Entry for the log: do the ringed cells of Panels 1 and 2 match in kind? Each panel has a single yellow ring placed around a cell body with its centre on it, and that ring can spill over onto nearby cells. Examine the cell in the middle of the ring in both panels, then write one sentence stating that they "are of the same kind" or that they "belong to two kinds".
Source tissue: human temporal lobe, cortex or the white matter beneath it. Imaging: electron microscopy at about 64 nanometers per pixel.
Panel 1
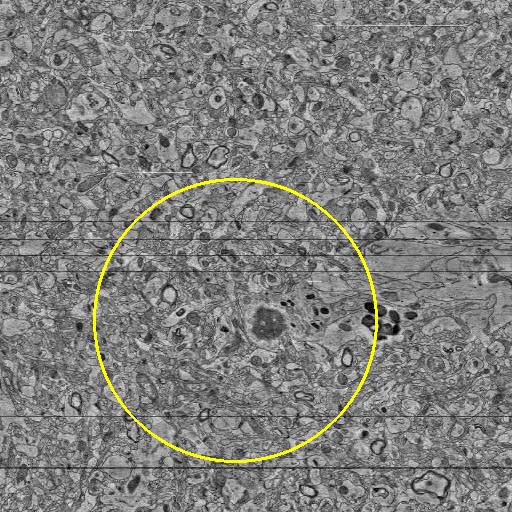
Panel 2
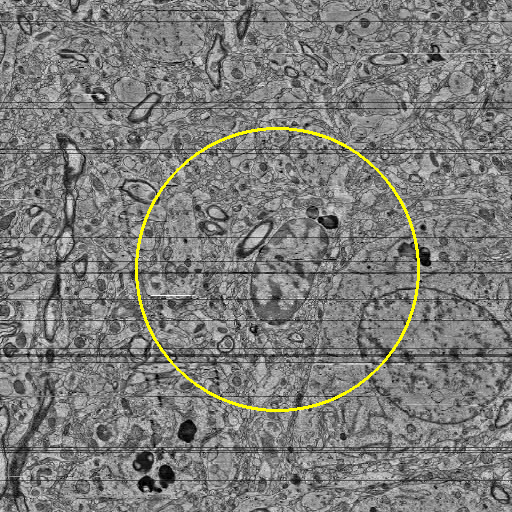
The centre cell of Panel 1's ring and that of Panel 2's ring are of the same kind.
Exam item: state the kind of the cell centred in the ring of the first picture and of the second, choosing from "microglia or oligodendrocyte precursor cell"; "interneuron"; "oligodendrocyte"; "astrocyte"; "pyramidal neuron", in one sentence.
Each cell, in the first picture and the second, is a microglial cell or oligodendrocyte precursor cell.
